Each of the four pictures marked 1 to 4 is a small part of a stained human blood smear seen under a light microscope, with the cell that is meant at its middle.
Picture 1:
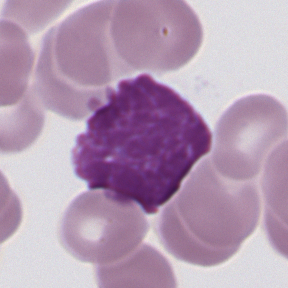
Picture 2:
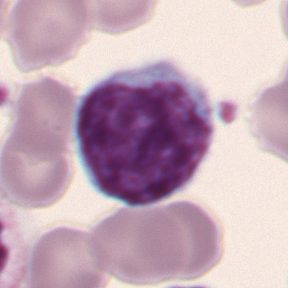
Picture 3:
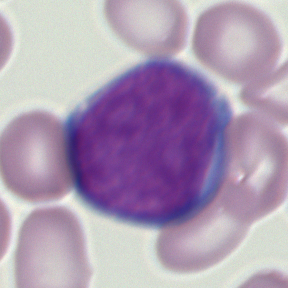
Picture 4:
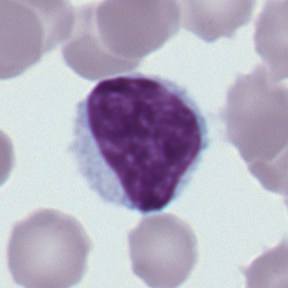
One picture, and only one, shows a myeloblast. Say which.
3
